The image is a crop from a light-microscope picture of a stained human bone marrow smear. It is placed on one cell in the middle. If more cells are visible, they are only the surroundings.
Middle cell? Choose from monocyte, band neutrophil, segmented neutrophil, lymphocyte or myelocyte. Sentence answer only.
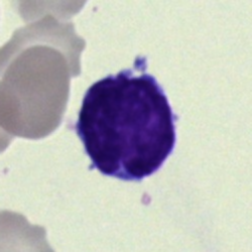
At the crop's centre, the cell is a lymphocyte.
